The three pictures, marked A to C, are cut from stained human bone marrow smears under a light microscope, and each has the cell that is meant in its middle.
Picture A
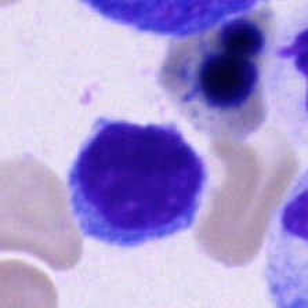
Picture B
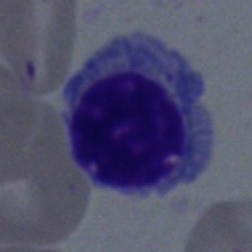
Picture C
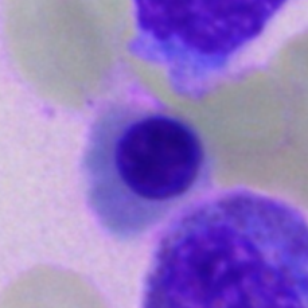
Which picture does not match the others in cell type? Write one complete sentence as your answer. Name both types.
The different one is picture A; it shows a lymphocyte, whereas all the others show erythroblasts.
